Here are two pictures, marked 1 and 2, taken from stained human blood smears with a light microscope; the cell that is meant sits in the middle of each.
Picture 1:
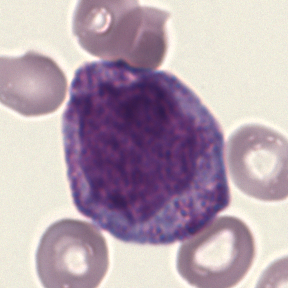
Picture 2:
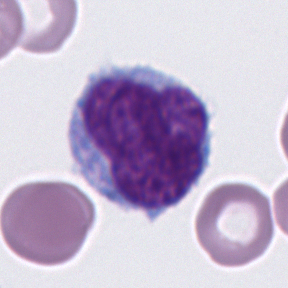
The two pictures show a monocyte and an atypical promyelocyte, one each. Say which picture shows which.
1: atypical promyelocyte
2: monocyte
